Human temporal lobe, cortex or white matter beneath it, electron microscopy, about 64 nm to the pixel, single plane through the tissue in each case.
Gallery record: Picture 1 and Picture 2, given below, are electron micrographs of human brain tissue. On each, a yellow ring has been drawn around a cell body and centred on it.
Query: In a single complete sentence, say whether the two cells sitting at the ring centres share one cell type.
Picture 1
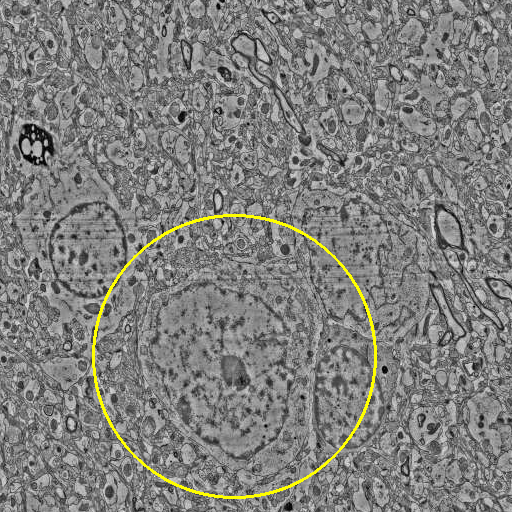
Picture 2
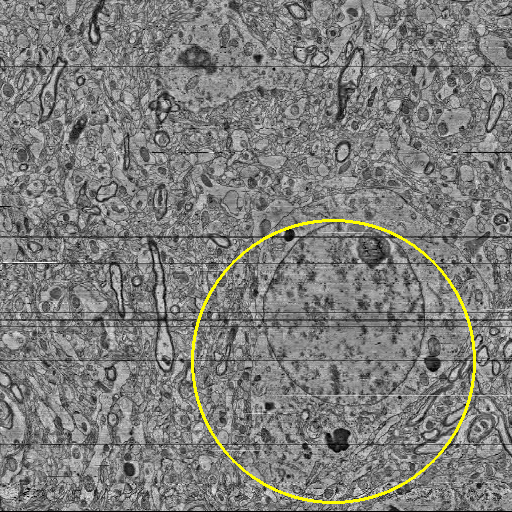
No, in the two pictures the cells at the rings' centres are of two separate types.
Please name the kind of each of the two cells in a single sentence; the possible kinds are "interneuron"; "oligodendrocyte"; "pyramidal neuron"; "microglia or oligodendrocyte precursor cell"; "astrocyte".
In the first picture the ring is centred on an interneuron, and in the second on a pyramidal neuron.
